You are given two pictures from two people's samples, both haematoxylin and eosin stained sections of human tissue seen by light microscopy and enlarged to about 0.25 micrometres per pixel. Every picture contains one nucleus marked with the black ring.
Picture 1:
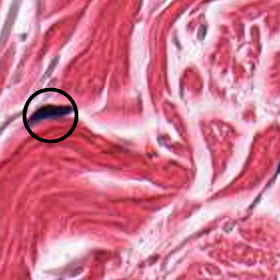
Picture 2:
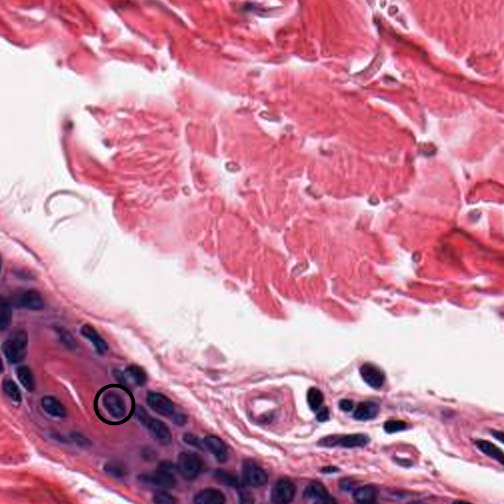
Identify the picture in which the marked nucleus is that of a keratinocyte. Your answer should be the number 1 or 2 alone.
2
